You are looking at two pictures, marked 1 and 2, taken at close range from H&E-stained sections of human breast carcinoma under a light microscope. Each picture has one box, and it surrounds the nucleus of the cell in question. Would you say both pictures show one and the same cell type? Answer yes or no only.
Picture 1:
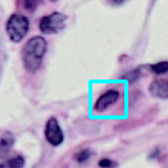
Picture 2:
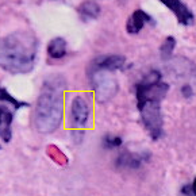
no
